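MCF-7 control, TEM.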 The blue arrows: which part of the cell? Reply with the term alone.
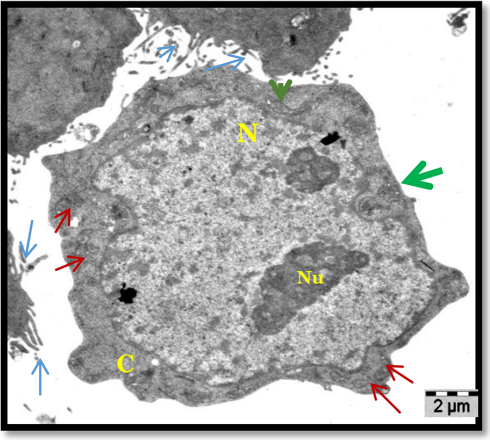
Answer: microvilli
